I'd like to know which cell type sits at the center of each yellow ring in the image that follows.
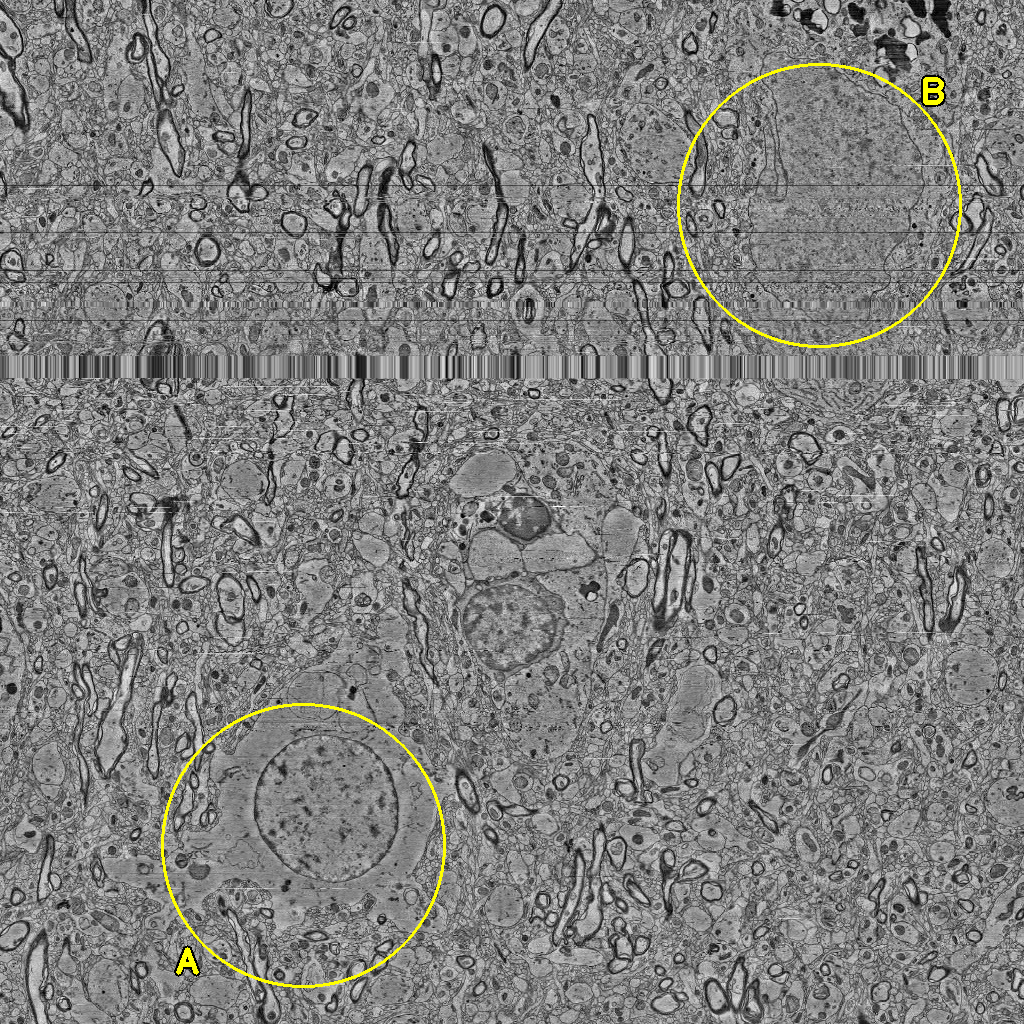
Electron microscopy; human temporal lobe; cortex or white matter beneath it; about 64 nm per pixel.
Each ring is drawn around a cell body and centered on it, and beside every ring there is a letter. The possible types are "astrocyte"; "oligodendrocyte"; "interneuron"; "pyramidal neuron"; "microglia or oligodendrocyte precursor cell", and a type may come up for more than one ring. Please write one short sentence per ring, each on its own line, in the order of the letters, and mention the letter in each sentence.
The cell at the center of ring A is an astrocyte.
The cell at the center of ring B is a pyramidal neuron.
